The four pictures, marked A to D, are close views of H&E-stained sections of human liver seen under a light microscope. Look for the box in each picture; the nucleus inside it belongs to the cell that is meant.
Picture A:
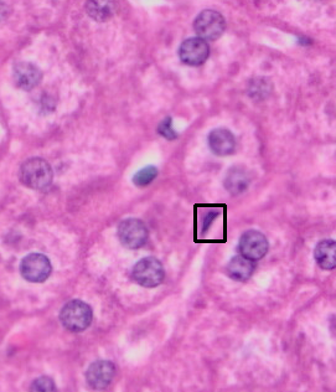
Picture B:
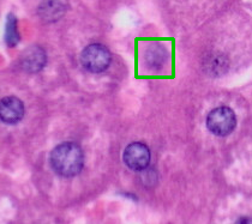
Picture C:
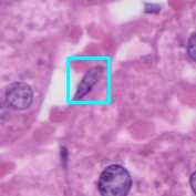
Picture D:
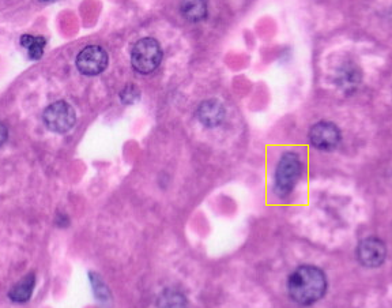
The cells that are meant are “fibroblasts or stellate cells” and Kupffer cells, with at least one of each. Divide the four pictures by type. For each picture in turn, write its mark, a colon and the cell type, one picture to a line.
A: fibroblast or stellate cell
B: Kupffer cell
C: Kupffer cell
D: fibroblast or stellate cell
